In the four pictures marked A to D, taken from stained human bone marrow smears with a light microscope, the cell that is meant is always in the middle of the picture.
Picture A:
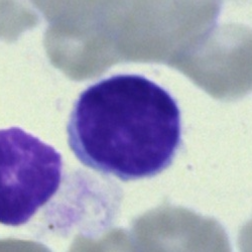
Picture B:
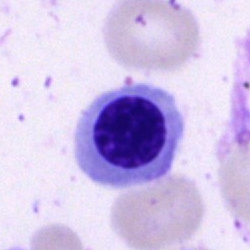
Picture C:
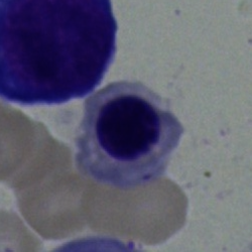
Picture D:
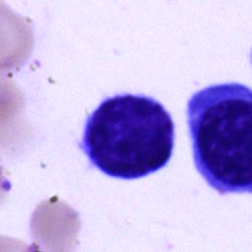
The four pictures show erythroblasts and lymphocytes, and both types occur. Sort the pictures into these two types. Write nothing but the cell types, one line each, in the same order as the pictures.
lymphocyte
erythroblast
erythroblast
lymphocyte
